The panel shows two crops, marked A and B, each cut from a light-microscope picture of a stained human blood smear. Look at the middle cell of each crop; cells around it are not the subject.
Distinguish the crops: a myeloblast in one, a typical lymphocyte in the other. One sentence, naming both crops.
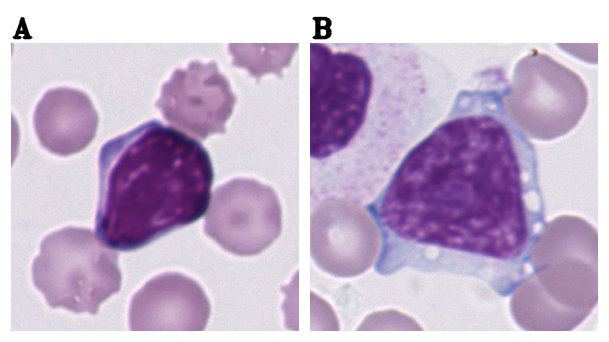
The cell at the centre of crop A is a typical lymphocyte, and at the centre of crop B, a myeloblast.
